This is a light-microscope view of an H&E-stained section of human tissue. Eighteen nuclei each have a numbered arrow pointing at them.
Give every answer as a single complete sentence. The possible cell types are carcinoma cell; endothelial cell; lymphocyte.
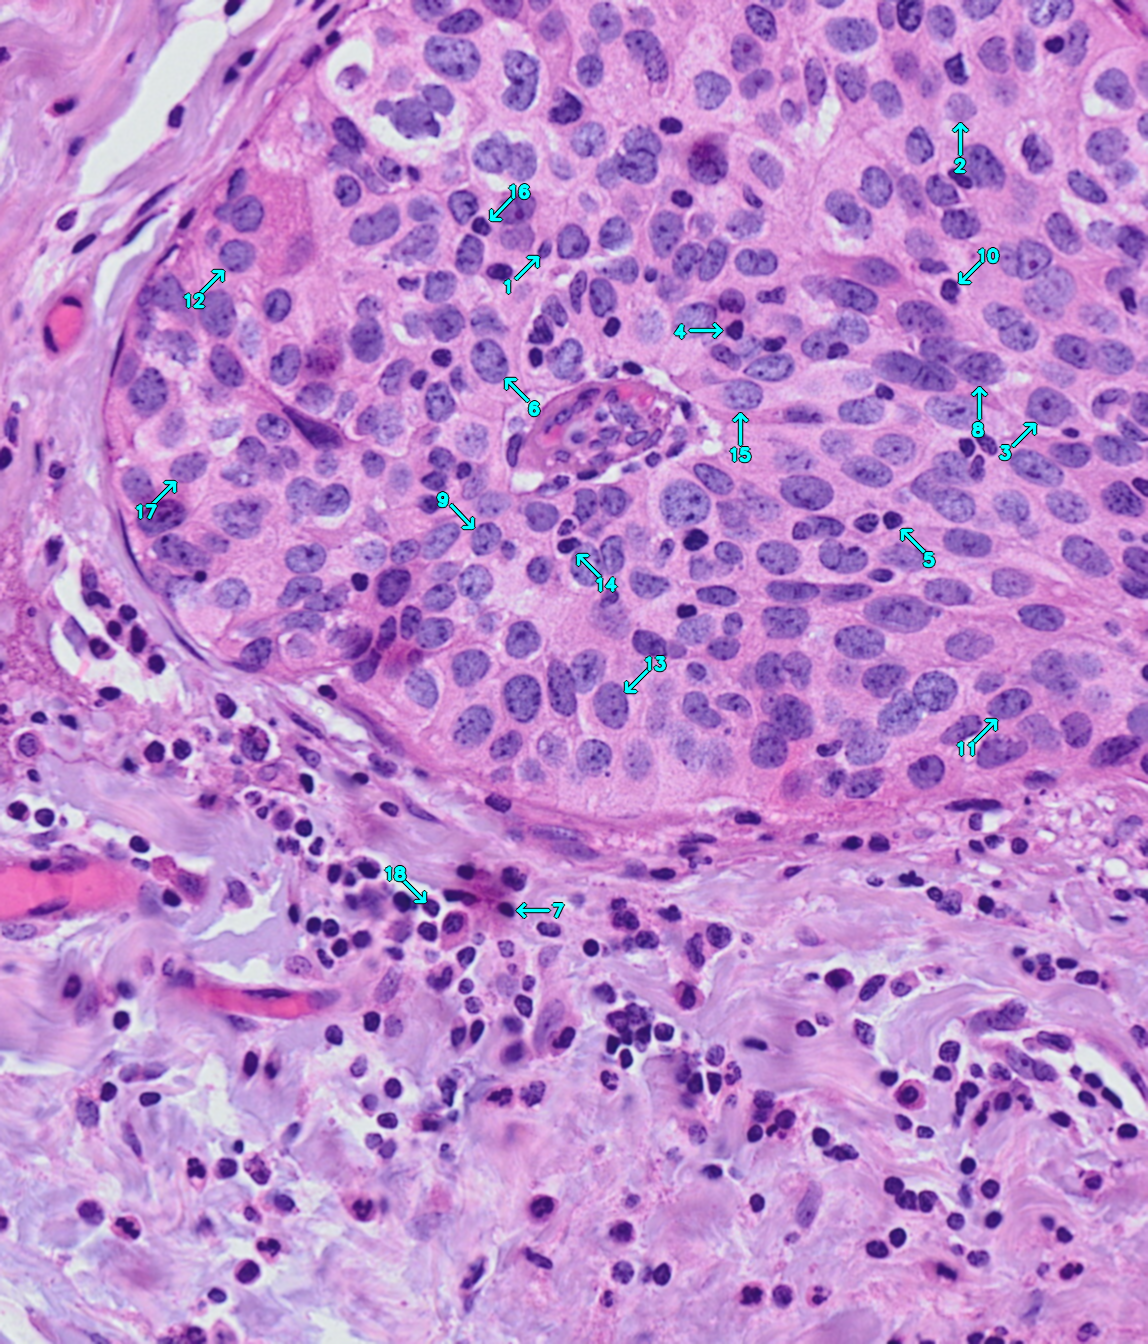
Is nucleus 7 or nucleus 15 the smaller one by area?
The smaller nucleus is 7, and 15 covers roughly 4 times its area.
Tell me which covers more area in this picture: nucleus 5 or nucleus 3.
Number 3 is larger; its area is about 4 times that of number 5.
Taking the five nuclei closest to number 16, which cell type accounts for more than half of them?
Carcinoma cells account for more than half of the five nuclei nearest to number 16.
